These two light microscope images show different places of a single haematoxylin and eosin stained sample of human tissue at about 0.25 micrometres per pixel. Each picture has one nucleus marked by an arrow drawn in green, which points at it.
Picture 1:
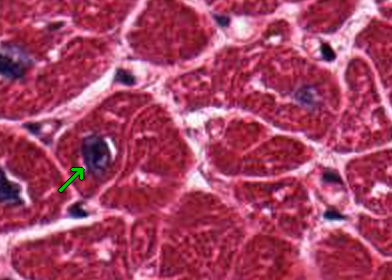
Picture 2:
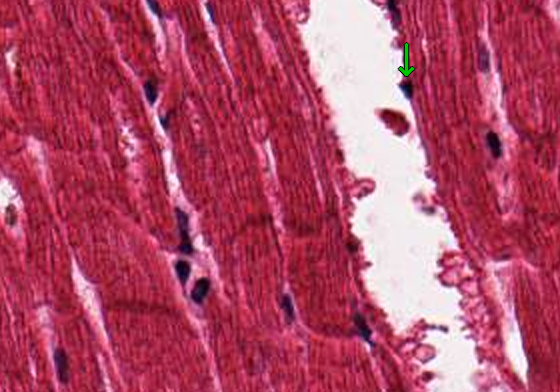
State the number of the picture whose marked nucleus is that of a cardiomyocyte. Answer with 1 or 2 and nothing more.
1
